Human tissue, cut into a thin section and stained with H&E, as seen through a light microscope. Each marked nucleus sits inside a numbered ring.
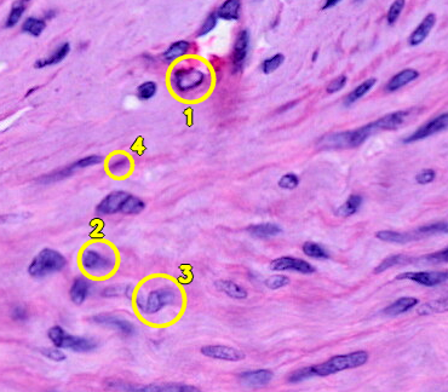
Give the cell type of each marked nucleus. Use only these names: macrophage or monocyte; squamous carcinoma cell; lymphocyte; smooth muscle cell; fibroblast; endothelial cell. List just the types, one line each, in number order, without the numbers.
endothelial cell
smooth muscle cell
smooth muscle cell
smooth muscle cell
